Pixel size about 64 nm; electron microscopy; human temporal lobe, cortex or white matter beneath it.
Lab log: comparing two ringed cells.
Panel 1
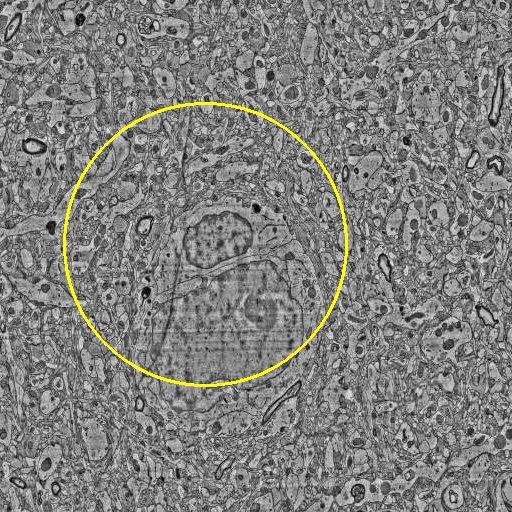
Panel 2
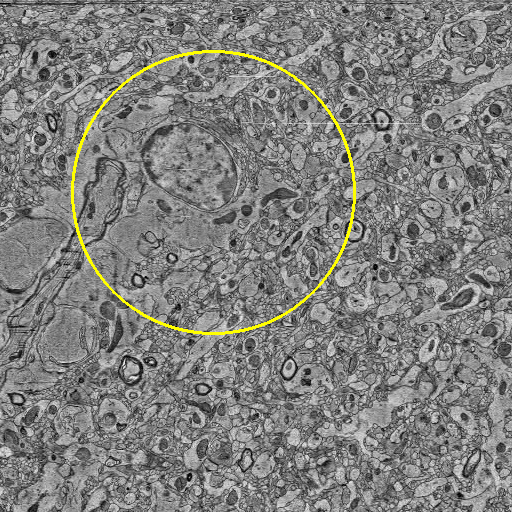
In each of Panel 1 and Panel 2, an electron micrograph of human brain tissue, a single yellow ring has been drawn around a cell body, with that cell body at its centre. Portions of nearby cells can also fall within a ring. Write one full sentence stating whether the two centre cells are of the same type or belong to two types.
The cells at the ring centres in Panel 1 and Panel 2 are of the same type.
